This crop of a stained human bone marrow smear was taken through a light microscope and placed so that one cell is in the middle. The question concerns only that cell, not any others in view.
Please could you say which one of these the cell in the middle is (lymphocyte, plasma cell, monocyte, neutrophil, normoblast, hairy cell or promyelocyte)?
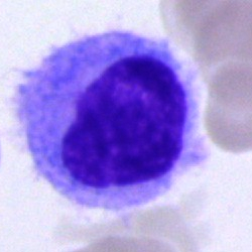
hairy cell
